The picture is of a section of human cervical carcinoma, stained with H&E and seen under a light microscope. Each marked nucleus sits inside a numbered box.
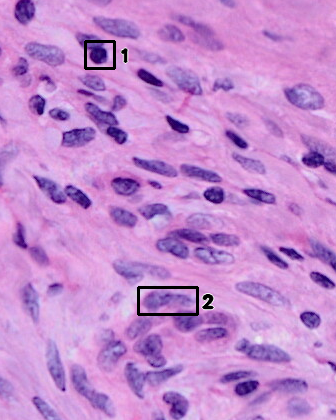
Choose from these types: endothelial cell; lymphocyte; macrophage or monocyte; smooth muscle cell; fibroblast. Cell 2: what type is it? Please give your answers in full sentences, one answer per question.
The numbered cell 2 in this field is a smooth muscle cell.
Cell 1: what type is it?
Classified as a lymphocyte is the cell with the number 1.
